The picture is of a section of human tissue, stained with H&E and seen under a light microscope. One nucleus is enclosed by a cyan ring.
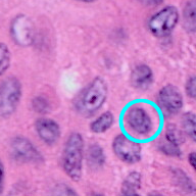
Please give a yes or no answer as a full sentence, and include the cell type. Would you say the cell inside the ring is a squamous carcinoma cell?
Yes, the classification of the cell inside the ring as a squamous carcinoma cell is accurate.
